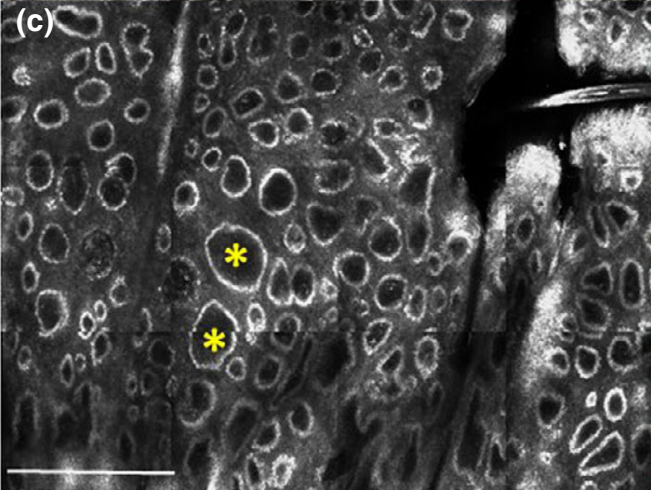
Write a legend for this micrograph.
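This is a grey-scale reflectance view of skin at the junction between epidermis and dermis, seen from above as a flat slice. The field is filled with many round to oval dark holes, each surrounded by a bright rim. These are dermal papillae cut across, their bright edges formed by reflective cells lining them. The rings vary in size and lie closely packed, separated by a mottled grey background. Toward the right side the pattern is interrupted by a dark band and a bright streak, and some rings there are less regular in shape.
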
